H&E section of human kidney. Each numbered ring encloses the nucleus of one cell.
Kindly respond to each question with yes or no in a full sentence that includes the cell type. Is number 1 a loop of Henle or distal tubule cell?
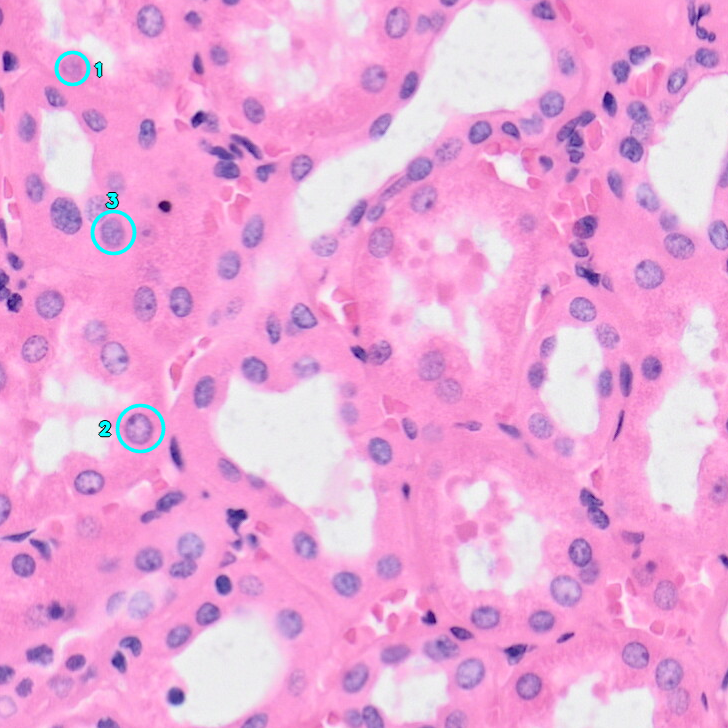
No, number 1 points to a proximal tubule cell and not to a loop of Henle or distal tubule cell.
